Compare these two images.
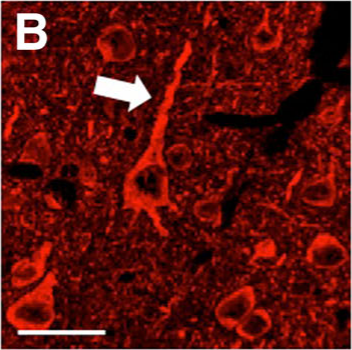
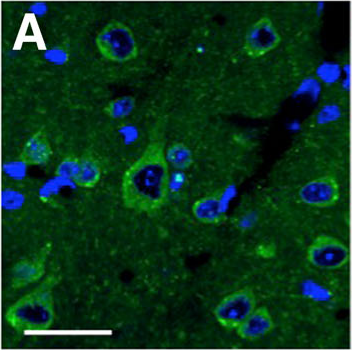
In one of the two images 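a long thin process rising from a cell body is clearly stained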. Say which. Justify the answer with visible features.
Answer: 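The first image. Second image: green staining is around cell bodies, with no long stained process above the central cell. First image: a long red process runs upward from the central triangular cell body.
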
